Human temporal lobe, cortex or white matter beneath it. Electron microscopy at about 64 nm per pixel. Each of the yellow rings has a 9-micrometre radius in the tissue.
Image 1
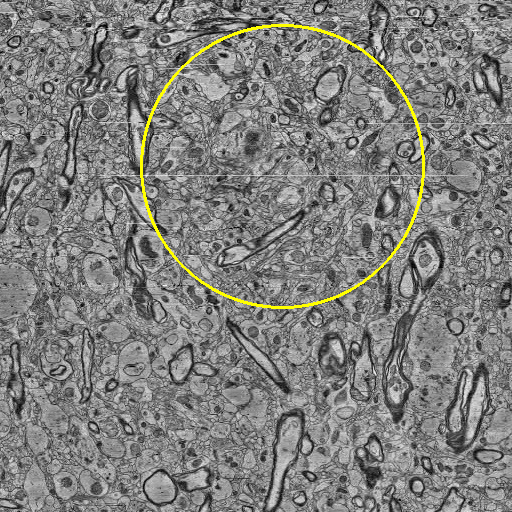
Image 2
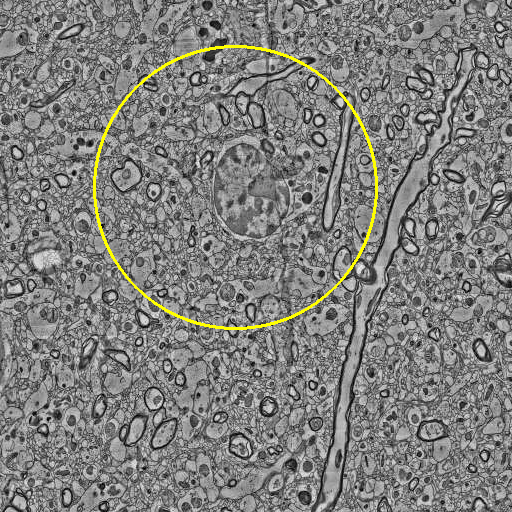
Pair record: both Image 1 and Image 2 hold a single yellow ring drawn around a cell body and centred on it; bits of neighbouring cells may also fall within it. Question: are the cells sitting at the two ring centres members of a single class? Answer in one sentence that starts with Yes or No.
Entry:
Yes, both ring-centre cells in Image 1 and Image 2 are members of one class.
